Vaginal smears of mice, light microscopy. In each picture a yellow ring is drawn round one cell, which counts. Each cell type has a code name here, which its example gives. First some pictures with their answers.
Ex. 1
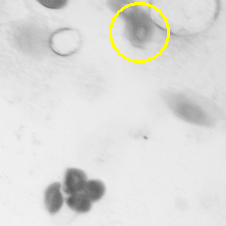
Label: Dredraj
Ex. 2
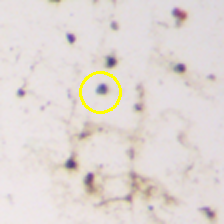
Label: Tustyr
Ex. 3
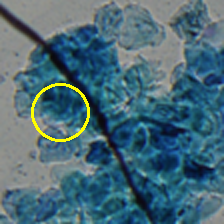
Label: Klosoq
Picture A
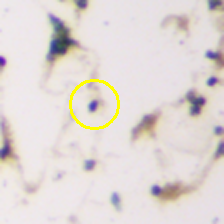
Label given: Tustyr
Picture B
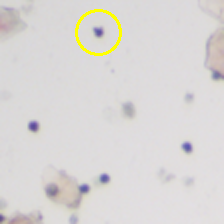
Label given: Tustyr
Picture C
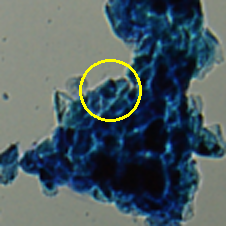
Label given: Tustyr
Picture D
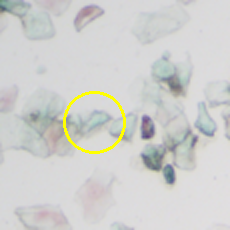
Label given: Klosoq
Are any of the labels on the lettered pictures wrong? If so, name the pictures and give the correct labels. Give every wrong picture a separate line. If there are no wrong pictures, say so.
C: Klosoq, not Tustyr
